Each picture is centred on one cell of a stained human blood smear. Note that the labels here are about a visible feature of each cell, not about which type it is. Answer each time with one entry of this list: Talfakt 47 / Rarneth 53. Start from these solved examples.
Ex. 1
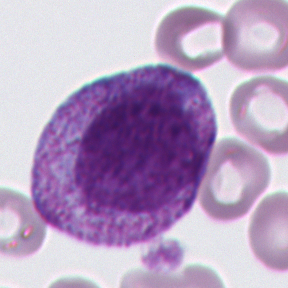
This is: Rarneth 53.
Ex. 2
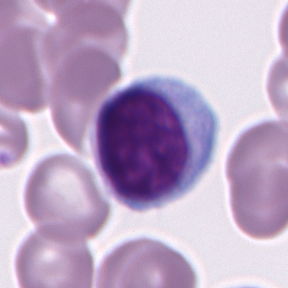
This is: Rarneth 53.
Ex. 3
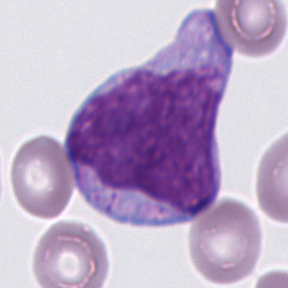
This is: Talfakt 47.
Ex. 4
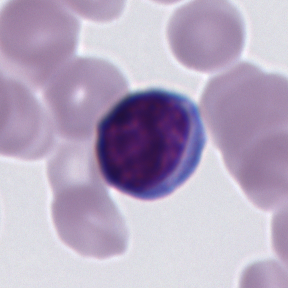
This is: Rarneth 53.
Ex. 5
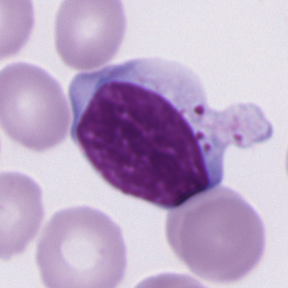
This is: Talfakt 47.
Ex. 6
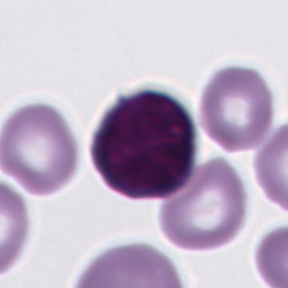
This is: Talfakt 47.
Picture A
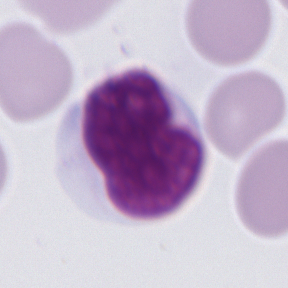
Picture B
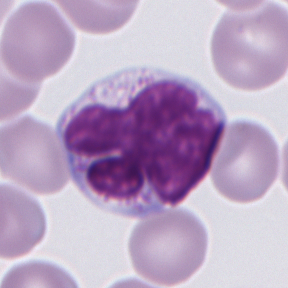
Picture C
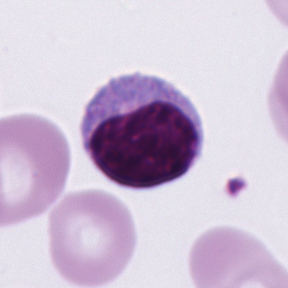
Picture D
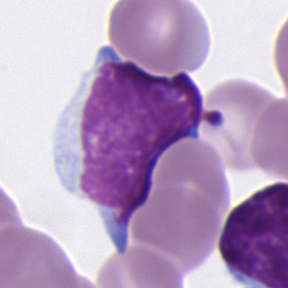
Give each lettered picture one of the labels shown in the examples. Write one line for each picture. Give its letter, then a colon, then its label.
A: Rarneth 53.
B: Rarneth 53.
C: Rarneth 53.
D: Talfakt 47.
